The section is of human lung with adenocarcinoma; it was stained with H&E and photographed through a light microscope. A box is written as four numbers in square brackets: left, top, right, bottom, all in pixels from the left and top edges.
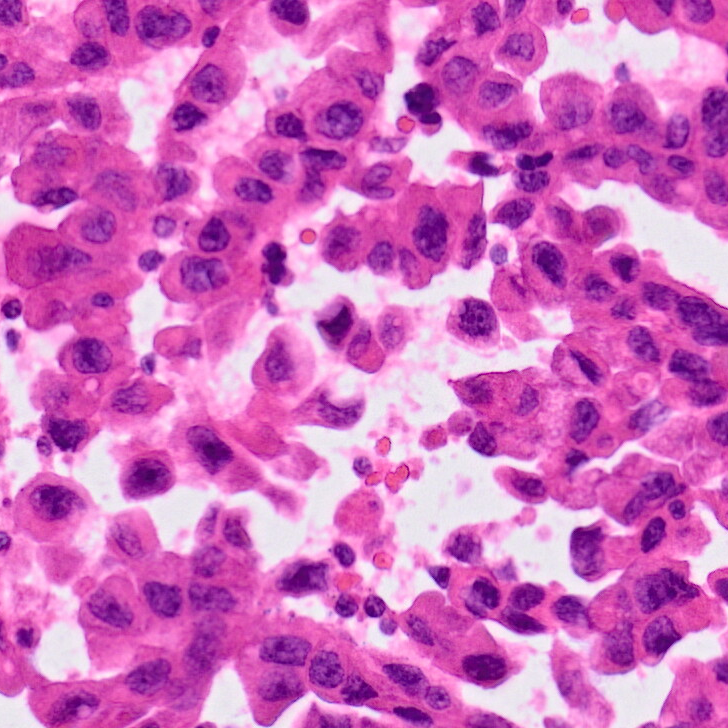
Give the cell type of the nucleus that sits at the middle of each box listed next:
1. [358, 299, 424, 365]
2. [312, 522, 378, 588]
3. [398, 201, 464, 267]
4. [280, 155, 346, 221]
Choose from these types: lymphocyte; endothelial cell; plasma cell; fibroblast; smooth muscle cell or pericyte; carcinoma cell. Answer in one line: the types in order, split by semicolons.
carcinoma cell; lymphocyte; carcinoma cell; carcinoma cell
